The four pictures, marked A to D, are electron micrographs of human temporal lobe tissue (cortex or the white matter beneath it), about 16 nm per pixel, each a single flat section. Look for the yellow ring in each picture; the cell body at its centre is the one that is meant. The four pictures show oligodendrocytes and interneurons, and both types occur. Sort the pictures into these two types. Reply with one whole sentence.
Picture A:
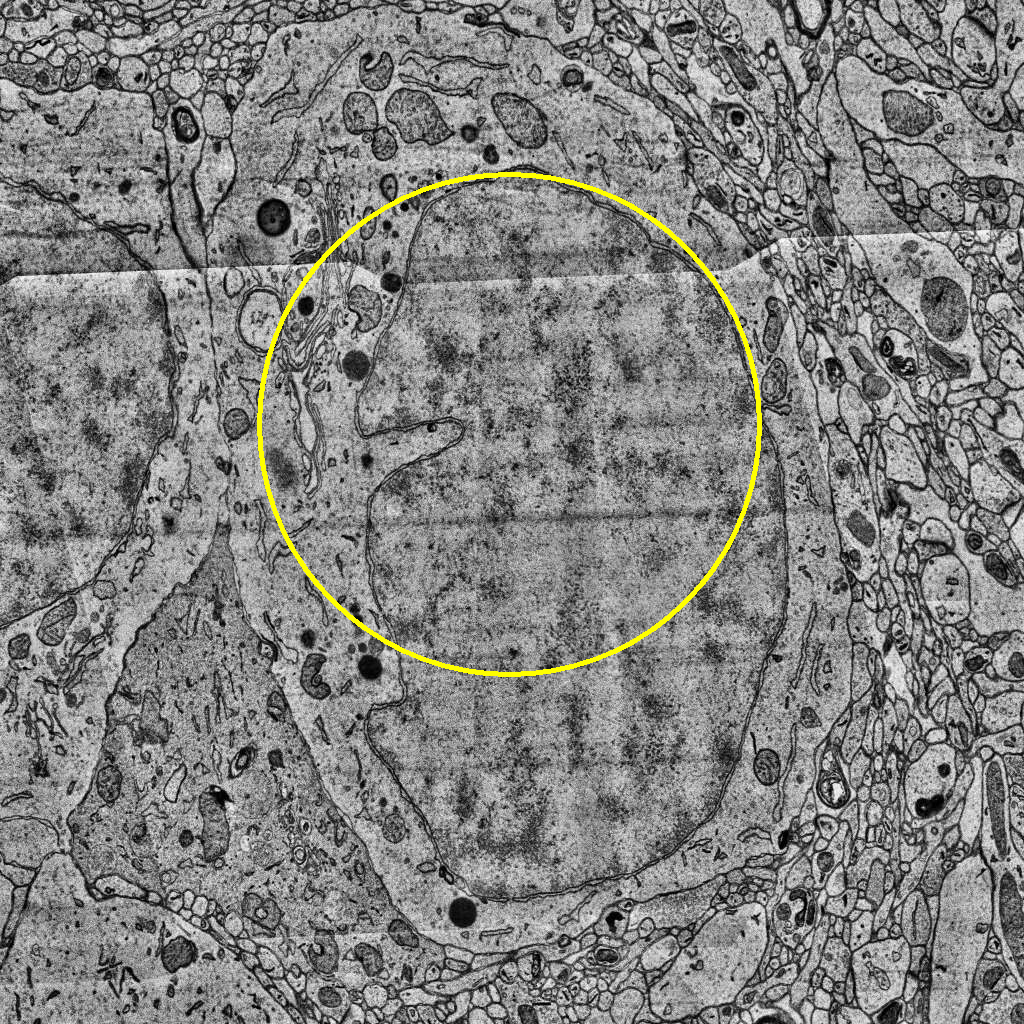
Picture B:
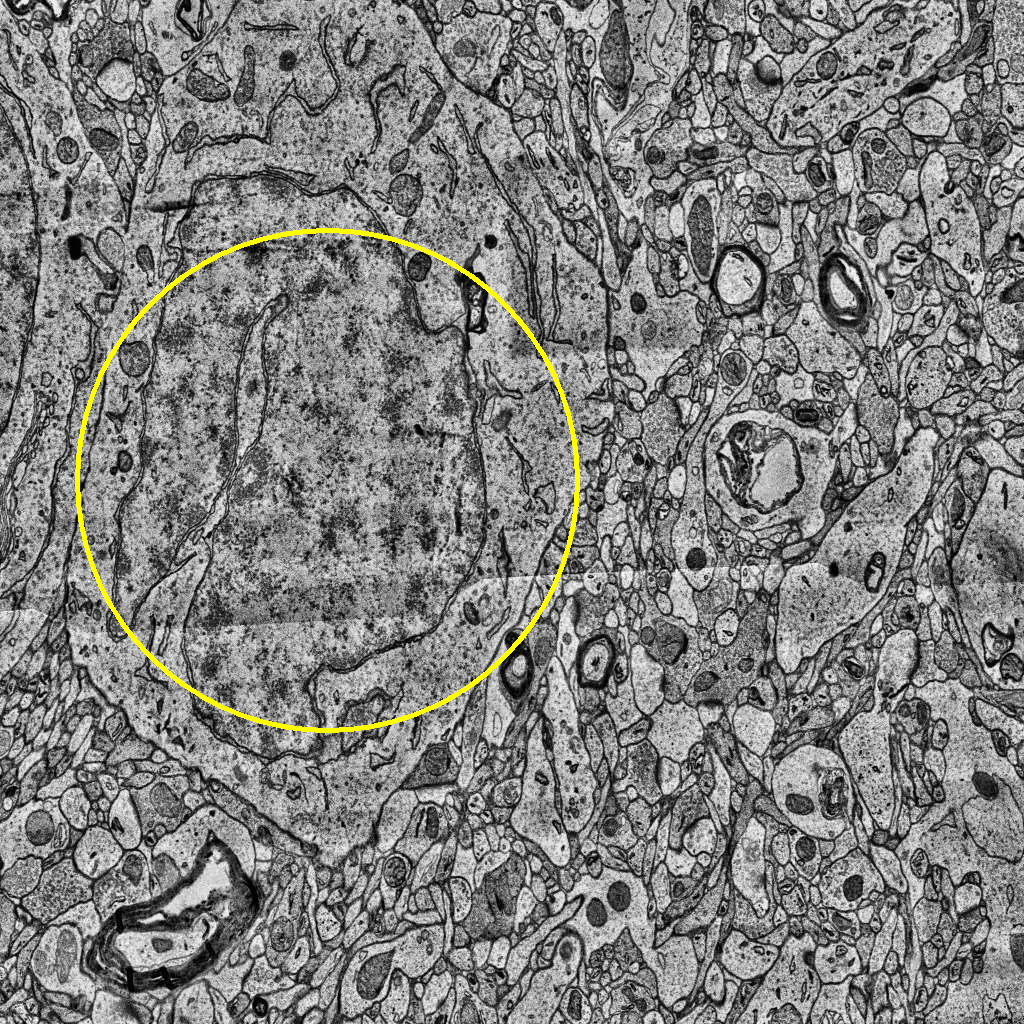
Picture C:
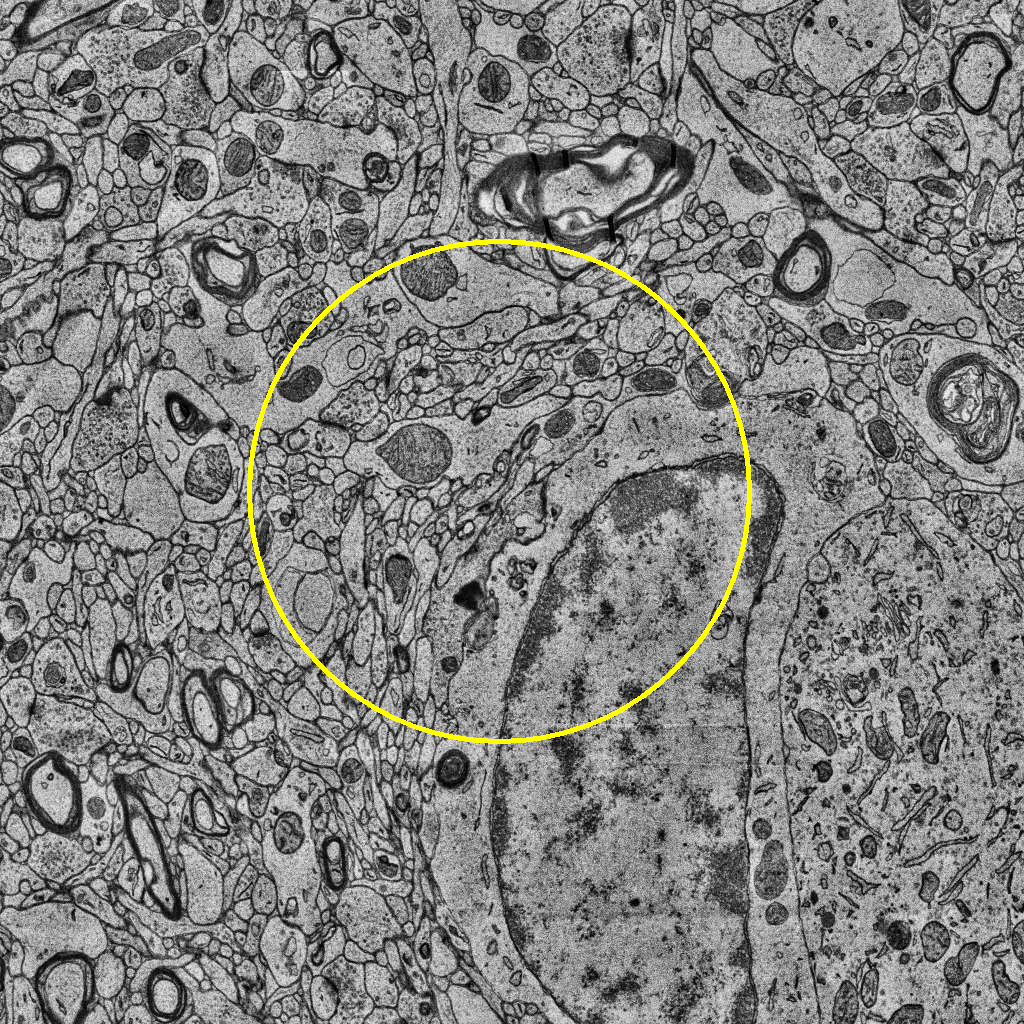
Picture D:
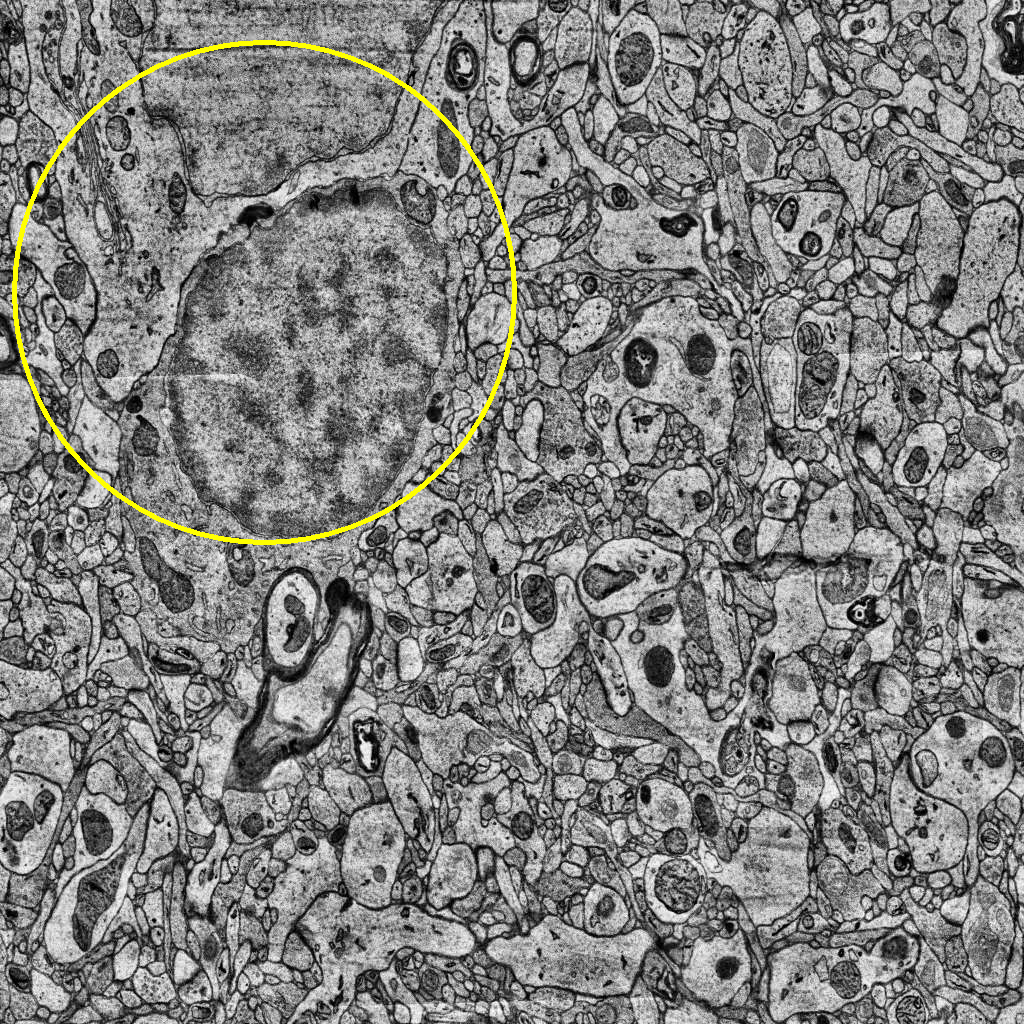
Pictures C and D show oligodendrocytes, while pictures A and B show interneurons.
